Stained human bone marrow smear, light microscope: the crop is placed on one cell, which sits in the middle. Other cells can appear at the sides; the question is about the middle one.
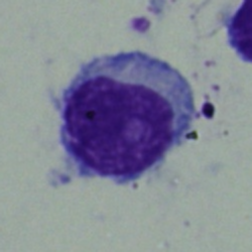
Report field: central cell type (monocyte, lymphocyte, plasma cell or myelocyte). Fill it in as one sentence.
In the crop, the cell of interest at the centre is a lymphocyte.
